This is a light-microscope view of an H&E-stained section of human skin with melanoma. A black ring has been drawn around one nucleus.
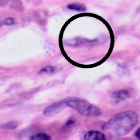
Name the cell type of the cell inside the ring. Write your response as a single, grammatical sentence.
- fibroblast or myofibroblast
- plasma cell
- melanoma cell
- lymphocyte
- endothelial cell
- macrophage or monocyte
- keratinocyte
Labelled by cell type, the cell inside the ring is a fibroblast or myofibroblast.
